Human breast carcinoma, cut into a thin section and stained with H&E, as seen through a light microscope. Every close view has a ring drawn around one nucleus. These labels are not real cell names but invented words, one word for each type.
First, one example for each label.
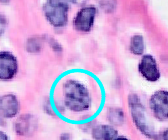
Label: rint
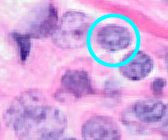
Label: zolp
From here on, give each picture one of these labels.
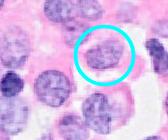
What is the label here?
zolp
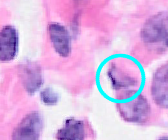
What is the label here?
zolp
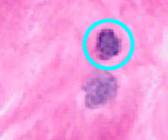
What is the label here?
rint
